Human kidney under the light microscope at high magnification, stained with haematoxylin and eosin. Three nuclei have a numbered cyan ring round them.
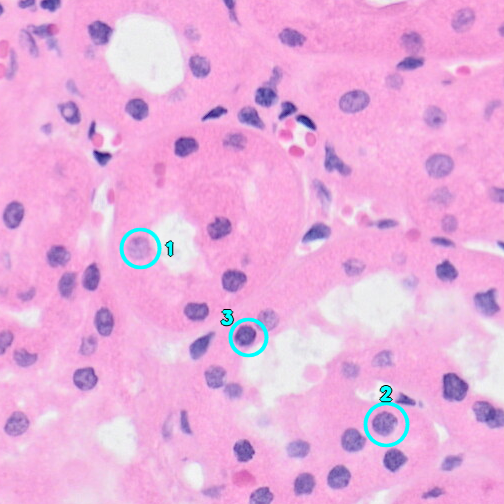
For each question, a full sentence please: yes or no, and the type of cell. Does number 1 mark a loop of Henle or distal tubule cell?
No, the cell referred to as 1 is a proximal tubule cell, not a loop of Henle or distal tubule cell.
